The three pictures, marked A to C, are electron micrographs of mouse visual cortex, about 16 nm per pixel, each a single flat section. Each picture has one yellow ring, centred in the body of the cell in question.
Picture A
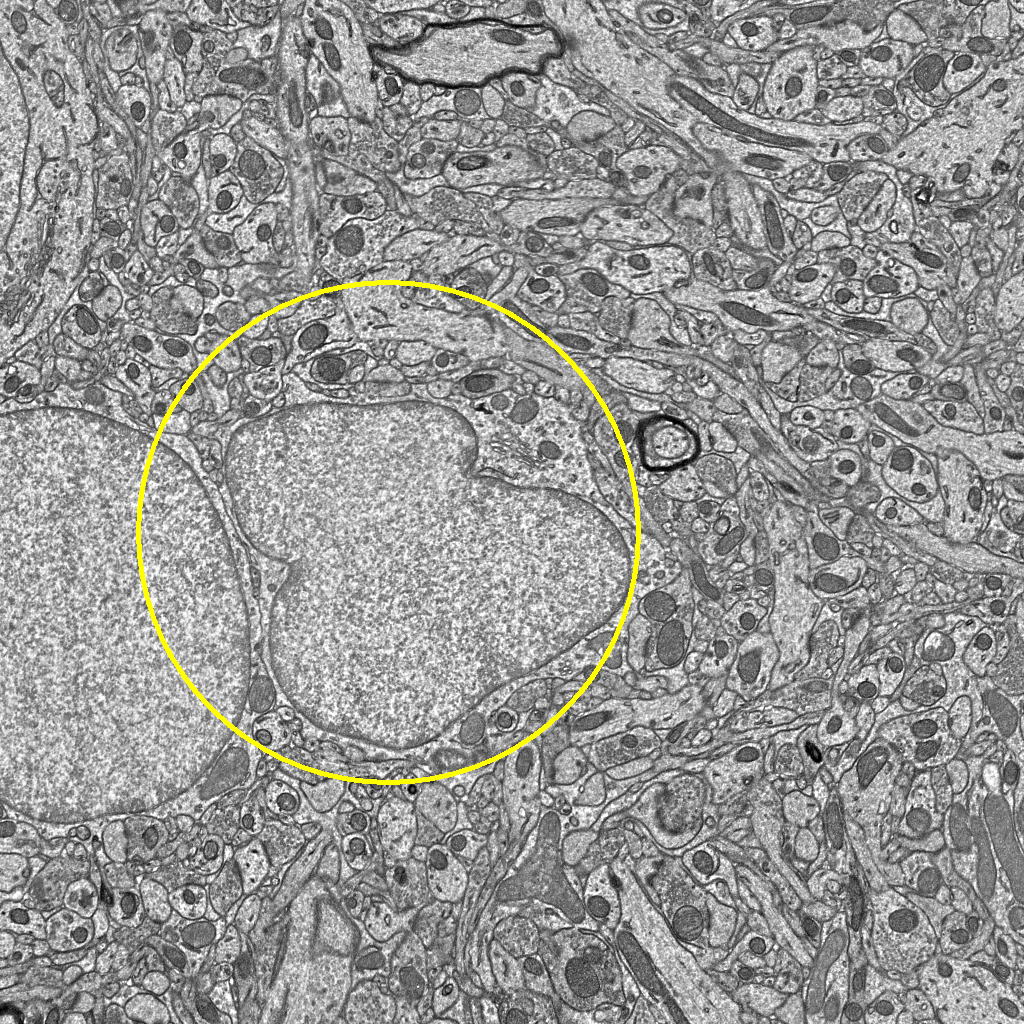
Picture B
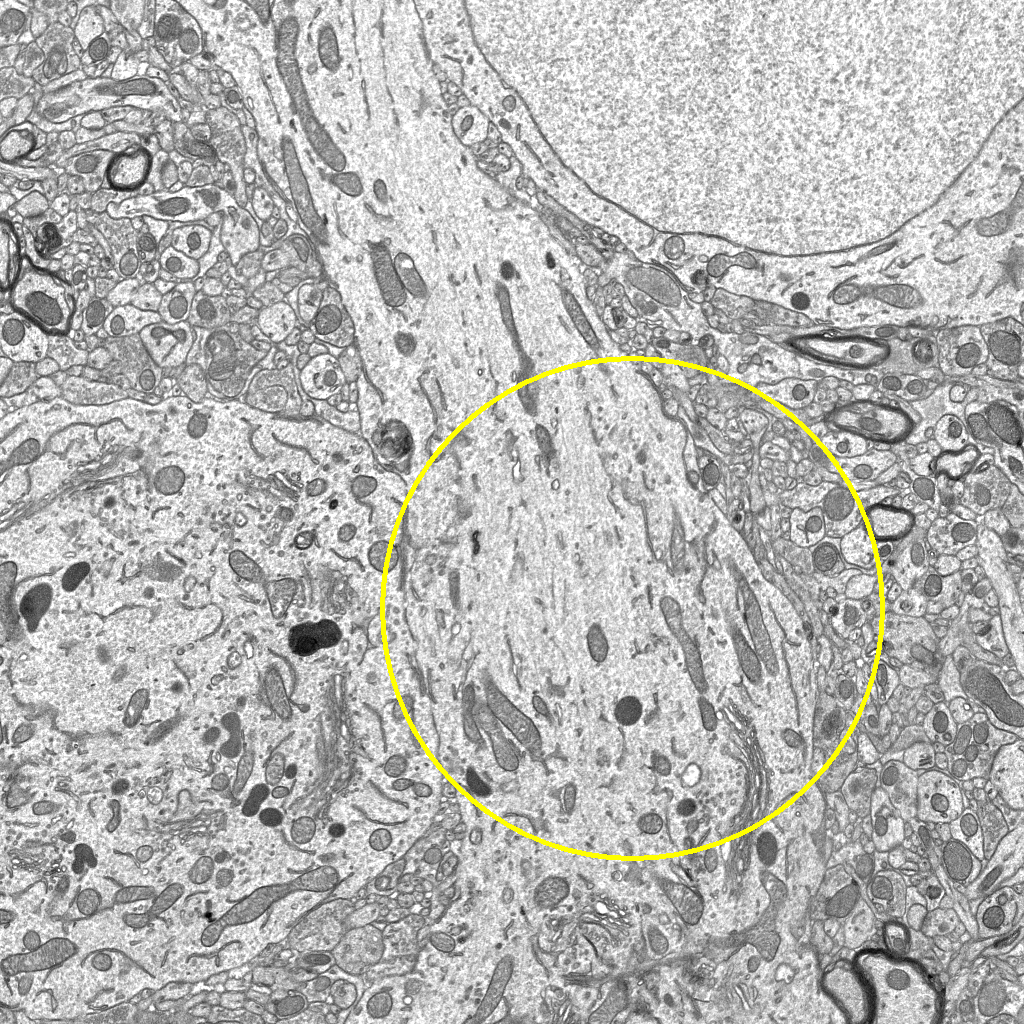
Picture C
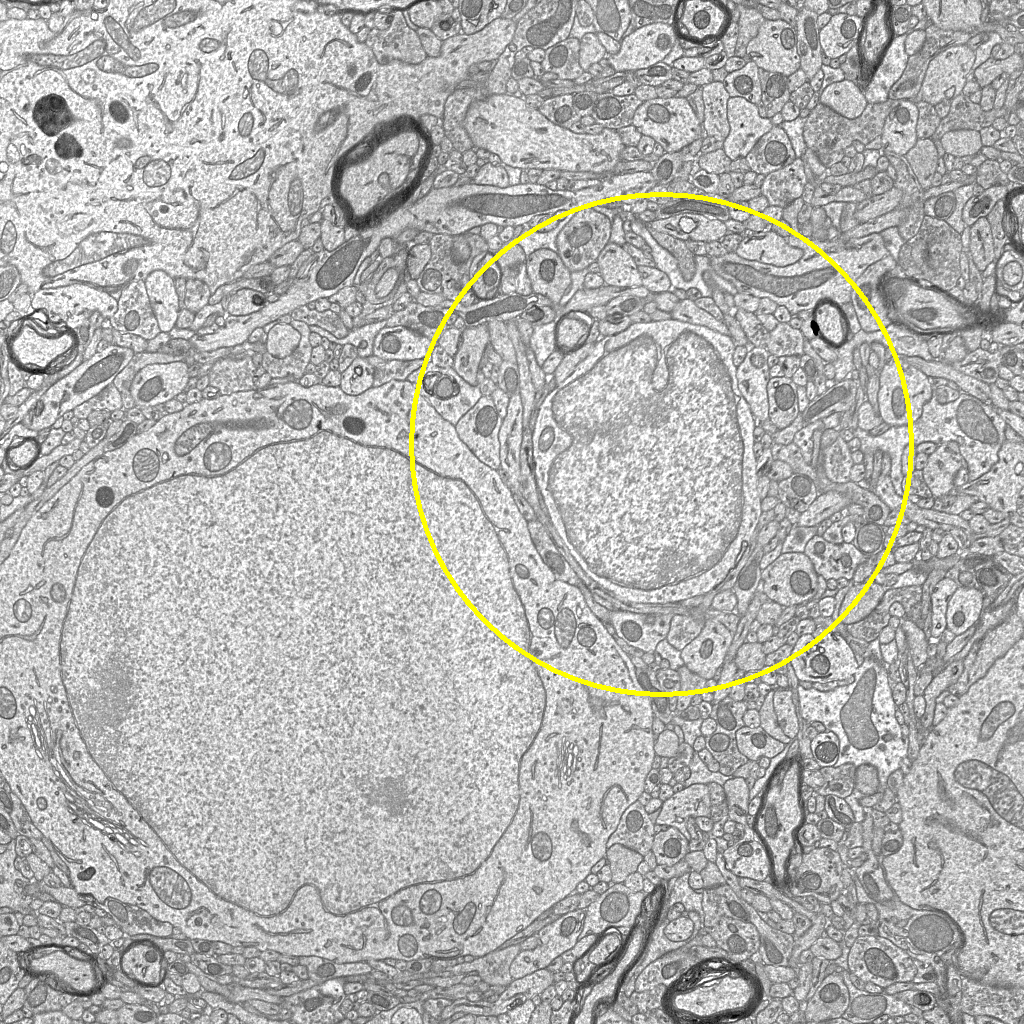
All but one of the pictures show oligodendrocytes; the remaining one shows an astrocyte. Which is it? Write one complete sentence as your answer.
The cell in picture A is the astrocyte.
